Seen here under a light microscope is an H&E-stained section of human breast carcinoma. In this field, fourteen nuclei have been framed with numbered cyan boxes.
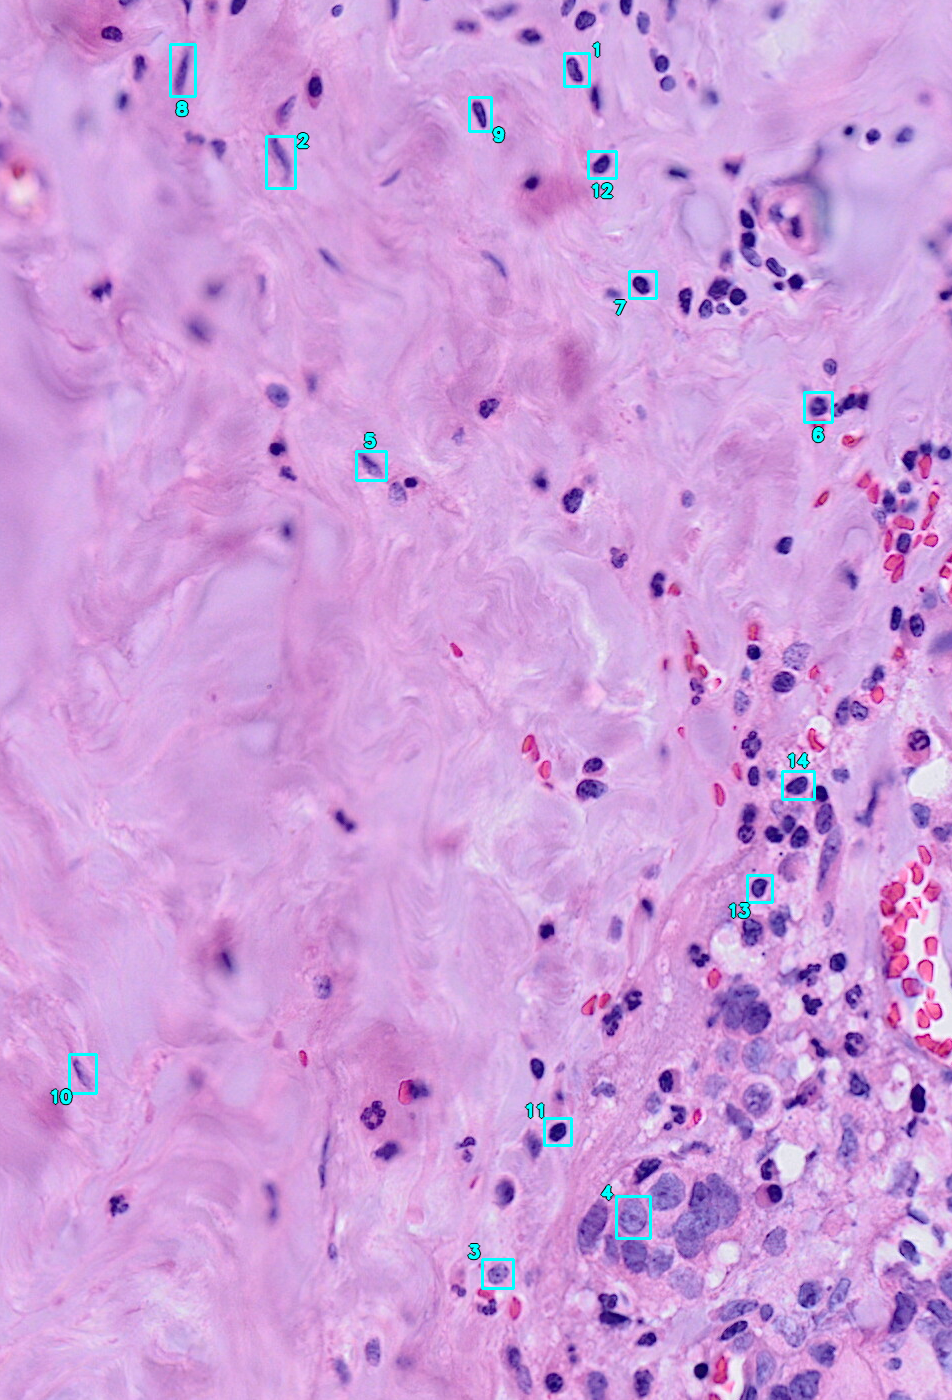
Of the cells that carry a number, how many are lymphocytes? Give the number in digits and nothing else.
8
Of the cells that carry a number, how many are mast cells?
1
